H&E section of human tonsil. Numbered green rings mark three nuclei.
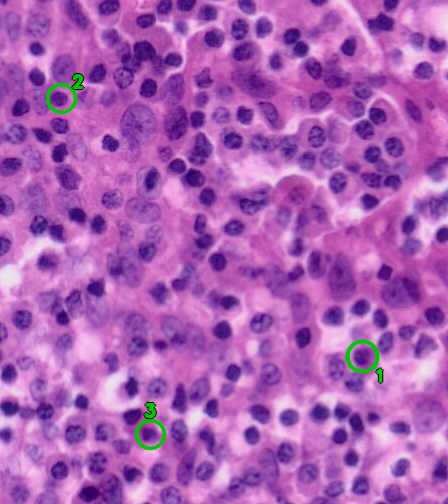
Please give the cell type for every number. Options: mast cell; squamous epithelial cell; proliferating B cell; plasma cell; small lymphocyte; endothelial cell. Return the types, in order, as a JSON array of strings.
["plasma cell", "squamous epithelial cell", "plasma cell"]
